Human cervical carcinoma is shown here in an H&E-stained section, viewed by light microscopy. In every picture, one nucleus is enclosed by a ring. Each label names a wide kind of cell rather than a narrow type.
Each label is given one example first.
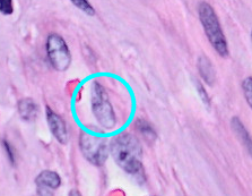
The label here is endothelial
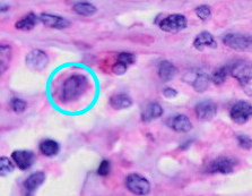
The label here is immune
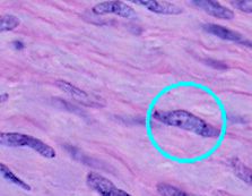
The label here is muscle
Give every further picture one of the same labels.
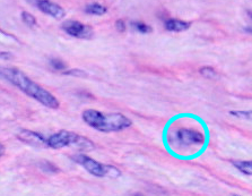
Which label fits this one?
muscle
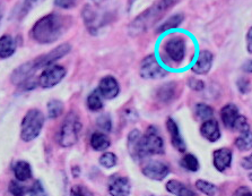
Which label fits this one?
immune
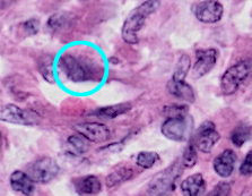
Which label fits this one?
endothelial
